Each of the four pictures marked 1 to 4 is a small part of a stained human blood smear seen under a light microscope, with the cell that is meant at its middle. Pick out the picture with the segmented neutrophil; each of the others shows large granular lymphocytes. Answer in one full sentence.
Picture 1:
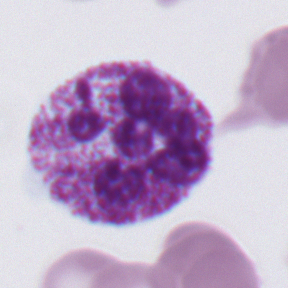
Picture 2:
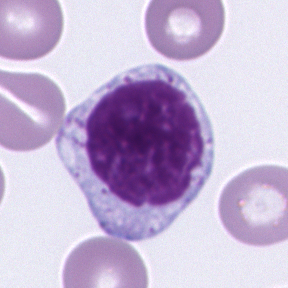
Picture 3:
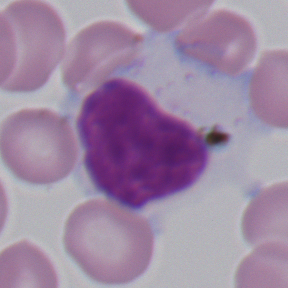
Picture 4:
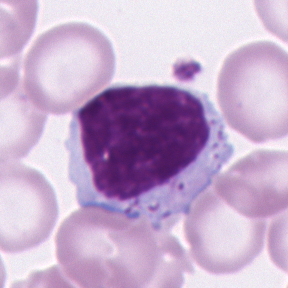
It is picture 1 that shows the segmented neutrophil.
